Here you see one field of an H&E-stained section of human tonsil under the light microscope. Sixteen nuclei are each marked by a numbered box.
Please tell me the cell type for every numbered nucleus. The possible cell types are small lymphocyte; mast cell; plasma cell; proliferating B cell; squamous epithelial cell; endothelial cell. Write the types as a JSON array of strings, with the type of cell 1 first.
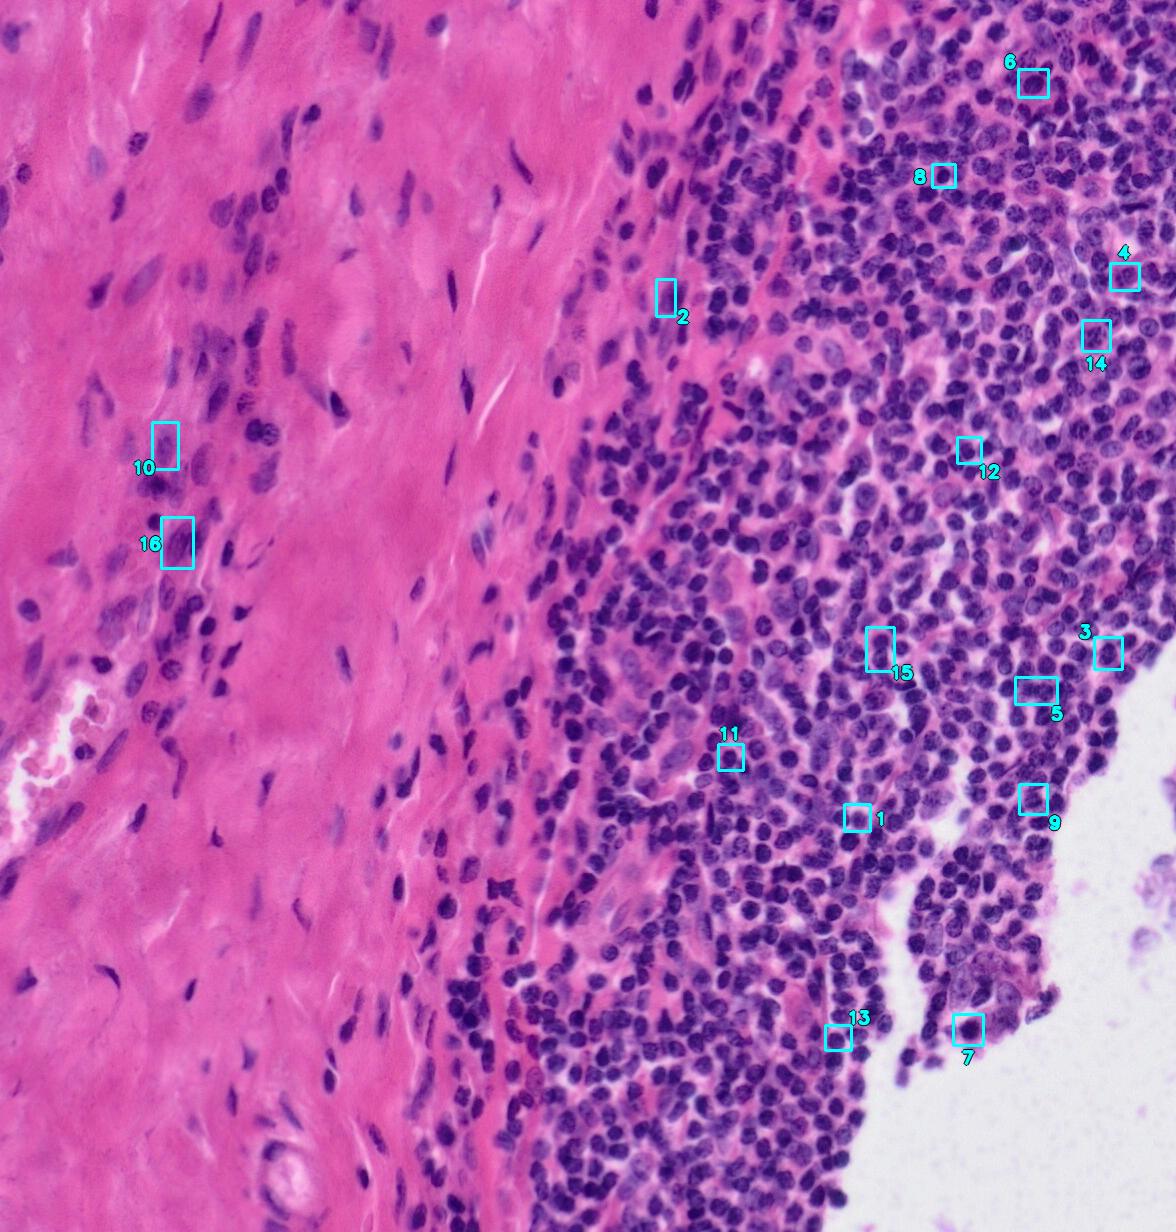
["small lymphocyte", "endothelial cell", "small lymphocyte", "plasma cell", "small lymphocyte", "plasma cell", "proliferating B cell", "small lymphocyte", "small lymphocyte", "endothelial cell", "small lymphocyte", "small lymphocyte", "small lymphocyte", "plasma cell", "small lymphocyte", "endothelial cell"]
